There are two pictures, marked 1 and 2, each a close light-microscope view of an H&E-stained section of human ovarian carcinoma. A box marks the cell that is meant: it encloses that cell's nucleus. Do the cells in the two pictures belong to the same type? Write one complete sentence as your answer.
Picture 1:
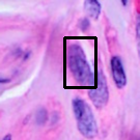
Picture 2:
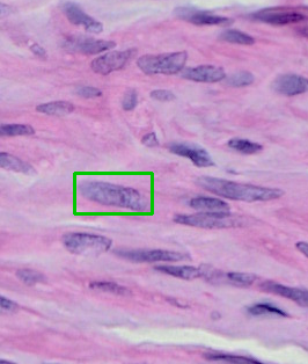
No; the cell in picture 1 is an endothelial cell, while the one in picture 2 is a smooth muscle cell.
